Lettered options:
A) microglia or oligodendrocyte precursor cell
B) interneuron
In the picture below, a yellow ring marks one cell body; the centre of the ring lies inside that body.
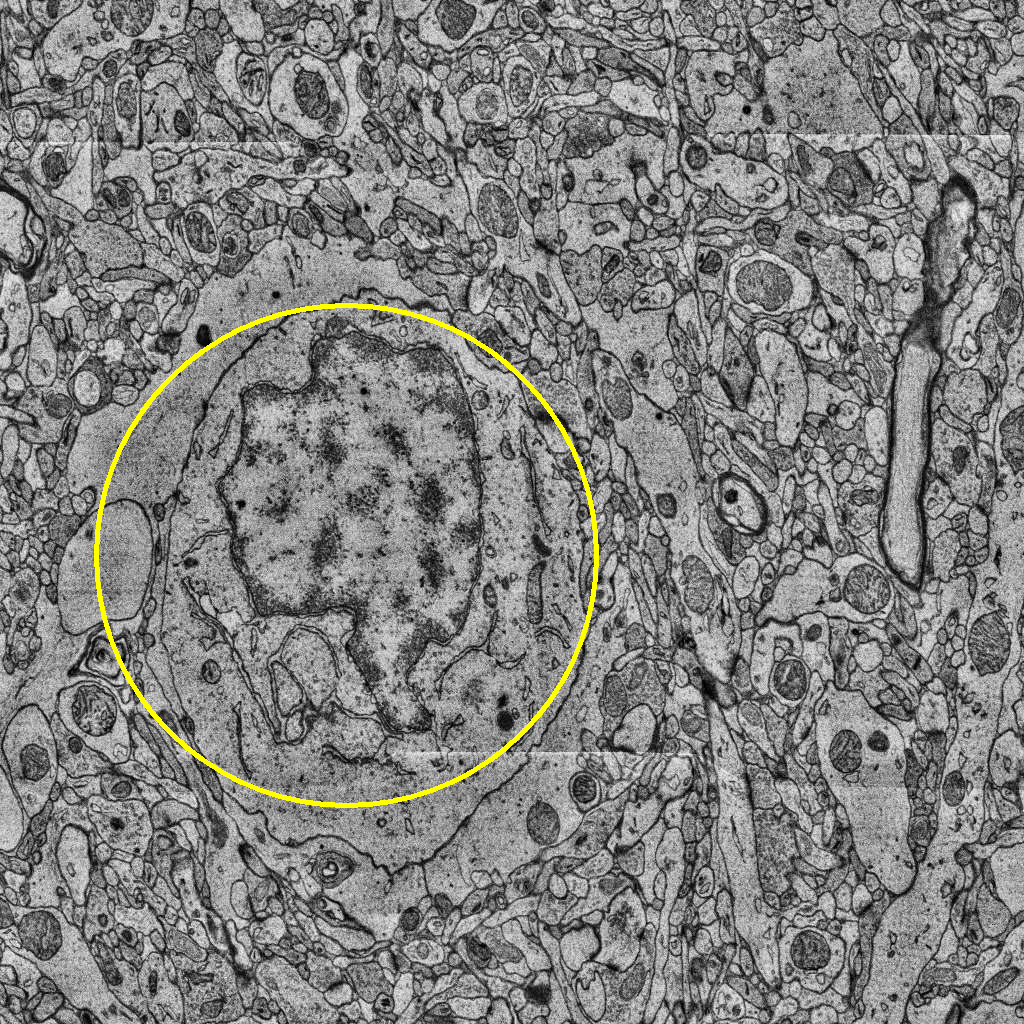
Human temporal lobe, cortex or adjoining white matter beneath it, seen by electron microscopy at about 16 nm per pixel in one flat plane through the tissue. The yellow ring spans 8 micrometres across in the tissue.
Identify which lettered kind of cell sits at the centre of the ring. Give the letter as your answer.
B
